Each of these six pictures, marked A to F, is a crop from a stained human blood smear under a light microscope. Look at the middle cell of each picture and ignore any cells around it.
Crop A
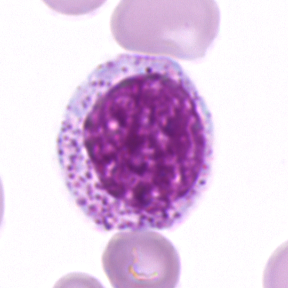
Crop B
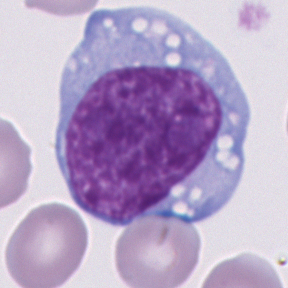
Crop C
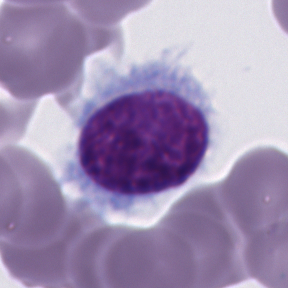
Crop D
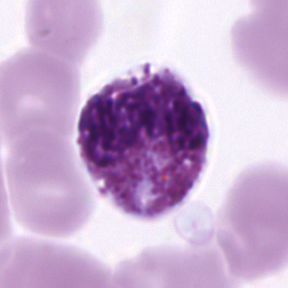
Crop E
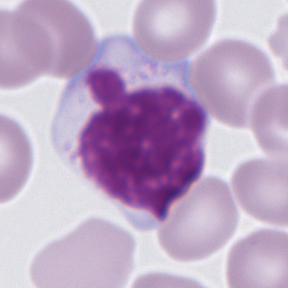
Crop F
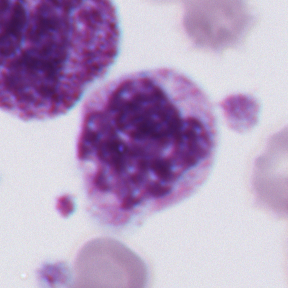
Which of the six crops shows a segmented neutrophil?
F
